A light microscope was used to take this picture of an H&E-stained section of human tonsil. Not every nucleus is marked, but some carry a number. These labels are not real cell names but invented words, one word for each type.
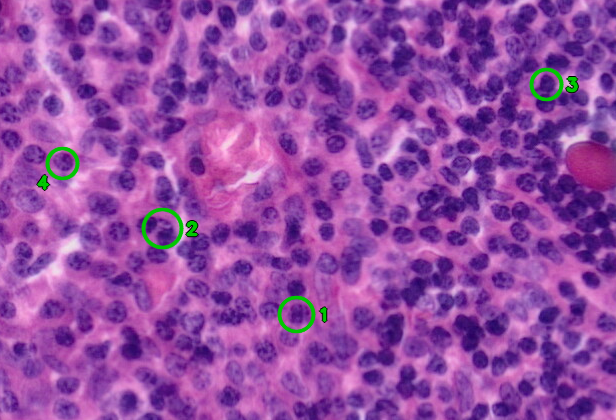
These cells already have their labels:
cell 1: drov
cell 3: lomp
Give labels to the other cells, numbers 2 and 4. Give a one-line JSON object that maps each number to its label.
{"2": "drov", "4": "drov"}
